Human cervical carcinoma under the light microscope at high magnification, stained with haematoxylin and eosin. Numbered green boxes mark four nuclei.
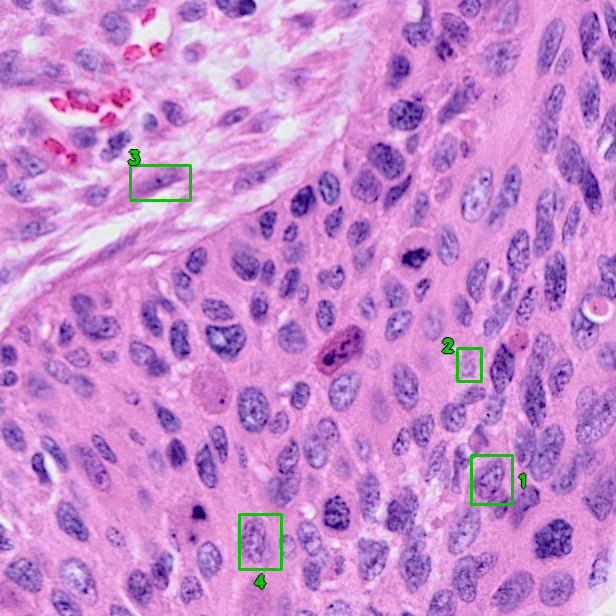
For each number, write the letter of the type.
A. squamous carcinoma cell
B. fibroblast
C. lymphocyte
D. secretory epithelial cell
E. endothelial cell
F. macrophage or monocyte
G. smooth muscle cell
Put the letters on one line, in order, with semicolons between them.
A; A; B; A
